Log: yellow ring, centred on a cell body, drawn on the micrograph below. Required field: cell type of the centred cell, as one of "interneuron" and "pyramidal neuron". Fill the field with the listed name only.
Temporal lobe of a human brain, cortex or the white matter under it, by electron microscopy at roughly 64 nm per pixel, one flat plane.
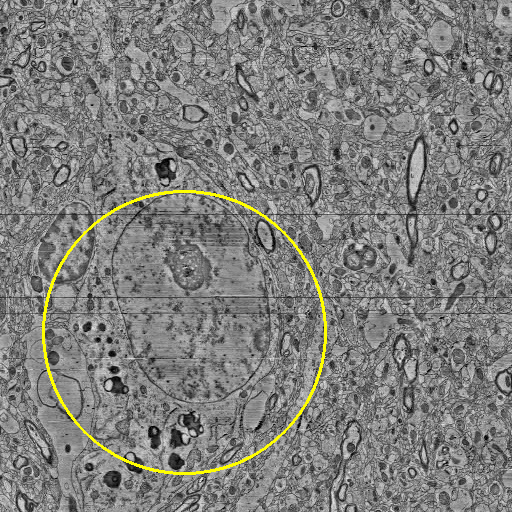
pyramidal neuron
